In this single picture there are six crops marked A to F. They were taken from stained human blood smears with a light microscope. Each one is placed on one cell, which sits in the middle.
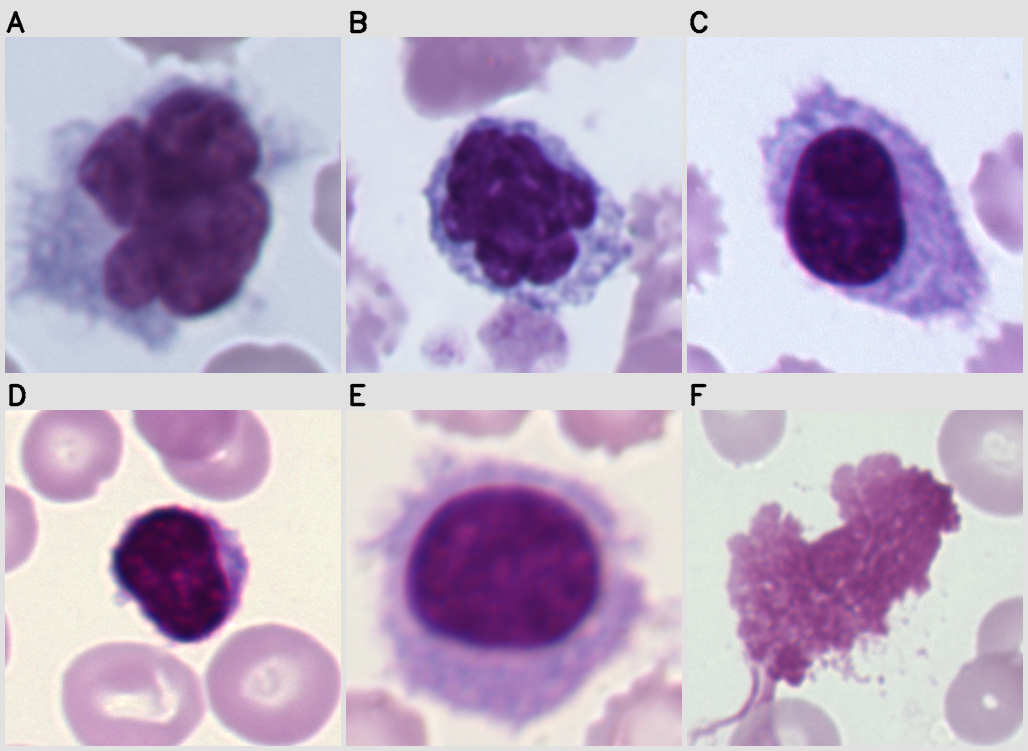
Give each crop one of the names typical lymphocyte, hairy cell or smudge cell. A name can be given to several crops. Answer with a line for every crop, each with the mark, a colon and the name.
A: hairy cell
B: typical lymphocyte
C: hairy cell
D: typical lymphocyte
E: hairy cell
F: smudge cell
